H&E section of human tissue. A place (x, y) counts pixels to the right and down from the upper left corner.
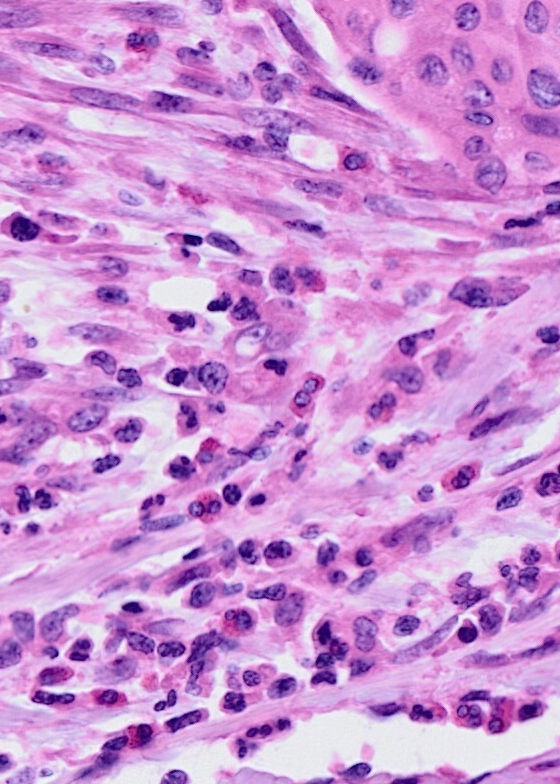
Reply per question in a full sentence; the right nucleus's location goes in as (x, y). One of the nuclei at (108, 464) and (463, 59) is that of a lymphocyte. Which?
Answering which nucleus it is: the one at (108, 464), belonging to a lymphocyte.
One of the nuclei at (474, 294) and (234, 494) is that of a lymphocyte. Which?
It is the nucleus at (234, 494), not the other one, that belongs to a lymphocyte.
